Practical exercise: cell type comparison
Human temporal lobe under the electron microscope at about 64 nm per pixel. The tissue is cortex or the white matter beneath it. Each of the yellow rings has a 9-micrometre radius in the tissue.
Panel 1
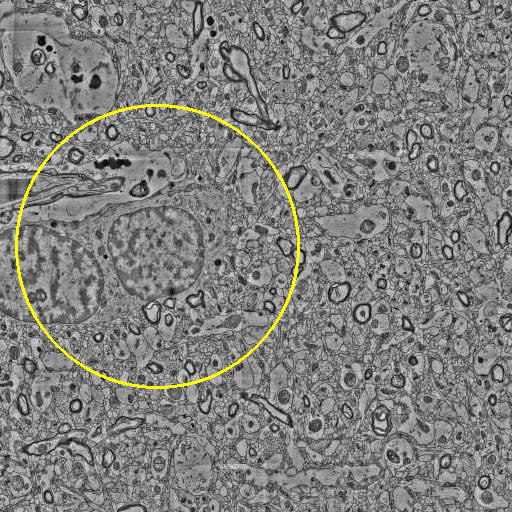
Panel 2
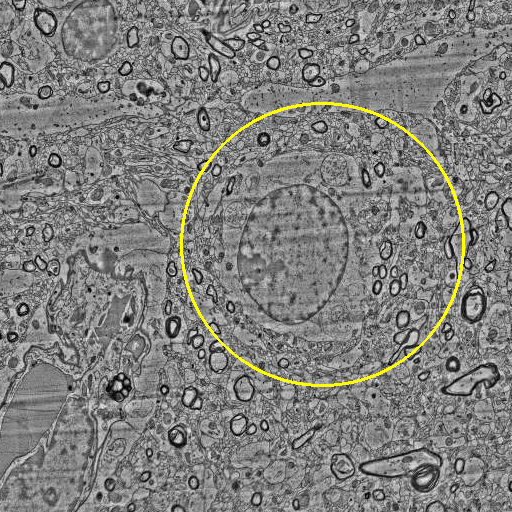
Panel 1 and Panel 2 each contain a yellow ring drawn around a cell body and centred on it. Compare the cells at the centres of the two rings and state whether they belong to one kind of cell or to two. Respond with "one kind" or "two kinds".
two kinds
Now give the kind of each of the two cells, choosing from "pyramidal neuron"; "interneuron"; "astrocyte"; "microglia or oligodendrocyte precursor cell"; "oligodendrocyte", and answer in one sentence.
The cell in the first picture is an oligodendrocyte, and the cell in the second is an astrocyte.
